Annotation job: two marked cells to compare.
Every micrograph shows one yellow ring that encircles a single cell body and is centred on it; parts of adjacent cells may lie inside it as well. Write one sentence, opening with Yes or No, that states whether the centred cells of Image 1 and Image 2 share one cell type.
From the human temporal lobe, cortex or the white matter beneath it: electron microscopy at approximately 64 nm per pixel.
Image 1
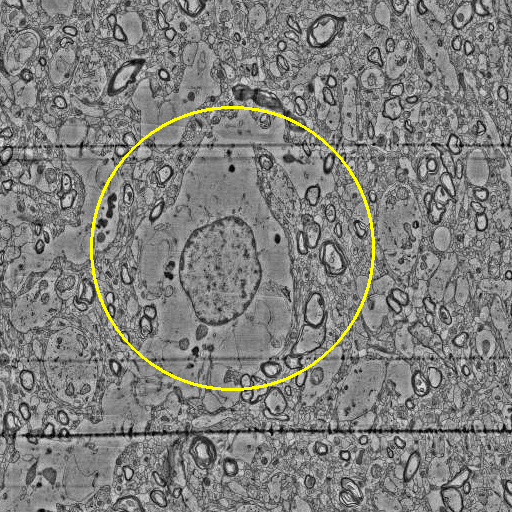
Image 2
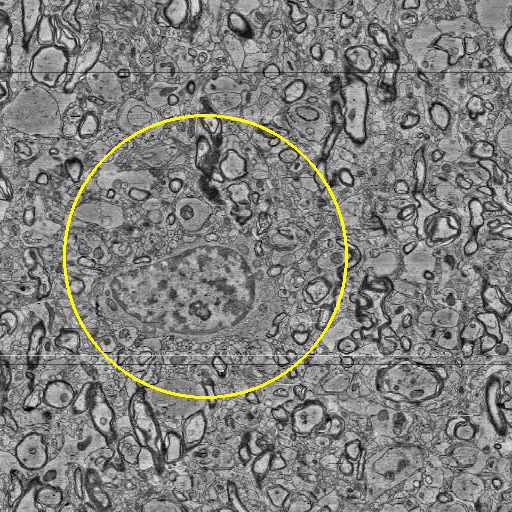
No, the cell centred in Image 1 and the cell centred in Image 2 are of two types.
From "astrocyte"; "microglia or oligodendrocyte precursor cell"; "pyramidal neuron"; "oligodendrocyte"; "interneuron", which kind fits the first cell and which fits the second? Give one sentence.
The cell marked in the first picture is an astrocyte, and the one marked in the second is an oligodendrocyte.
